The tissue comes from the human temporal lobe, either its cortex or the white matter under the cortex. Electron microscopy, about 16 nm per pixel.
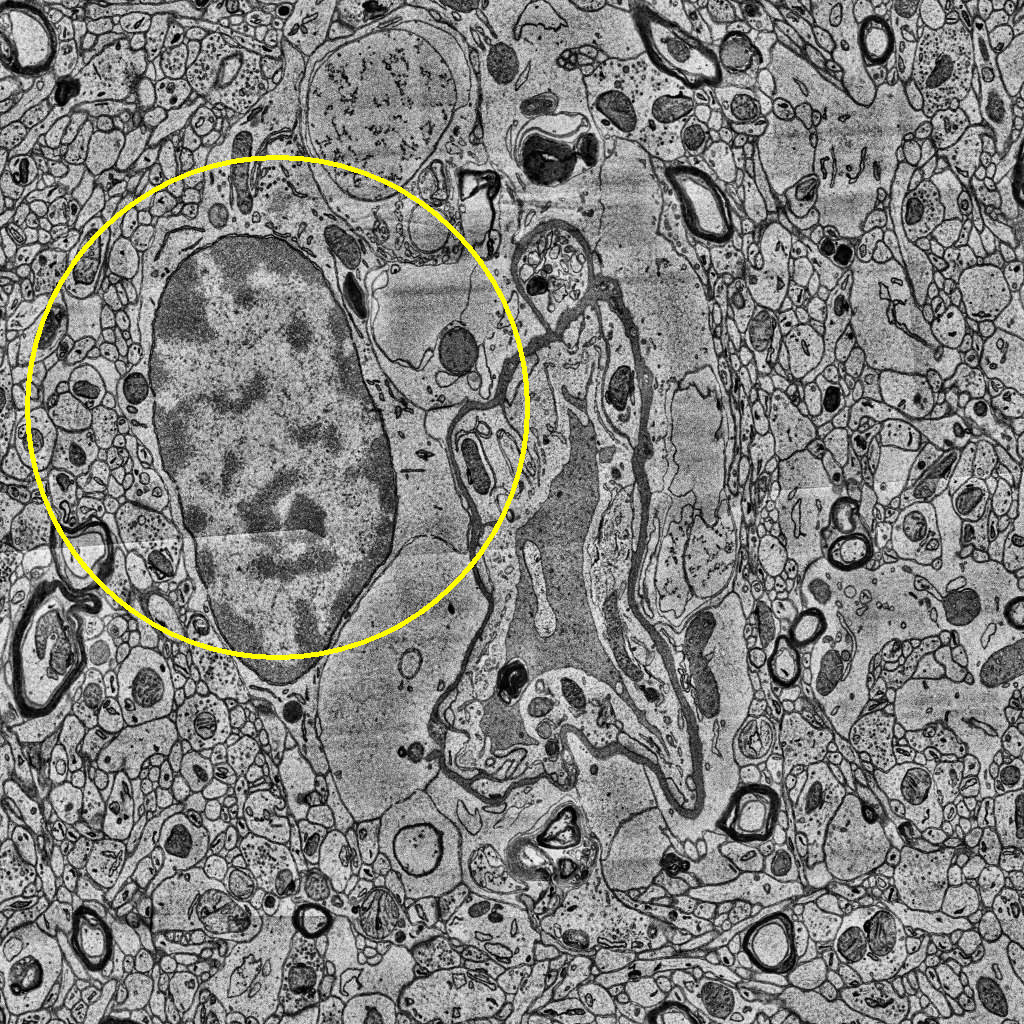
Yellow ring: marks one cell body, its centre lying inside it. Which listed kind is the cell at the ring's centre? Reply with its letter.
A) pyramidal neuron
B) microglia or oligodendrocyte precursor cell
B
